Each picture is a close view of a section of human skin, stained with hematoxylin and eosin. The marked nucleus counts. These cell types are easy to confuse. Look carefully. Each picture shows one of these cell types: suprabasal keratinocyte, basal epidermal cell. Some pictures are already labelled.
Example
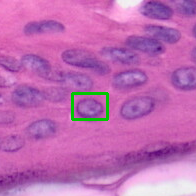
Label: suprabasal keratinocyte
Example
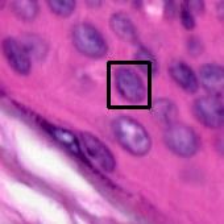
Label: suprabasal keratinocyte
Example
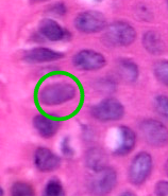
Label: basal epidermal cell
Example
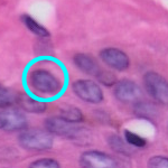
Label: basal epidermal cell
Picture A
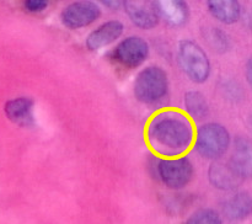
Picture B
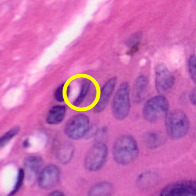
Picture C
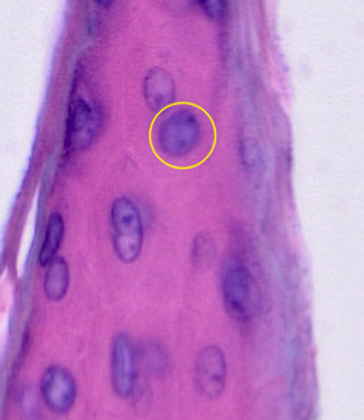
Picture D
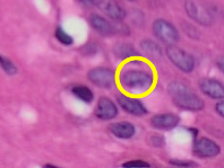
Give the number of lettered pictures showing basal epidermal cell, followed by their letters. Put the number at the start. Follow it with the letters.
Count: 3 (A, B, D)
